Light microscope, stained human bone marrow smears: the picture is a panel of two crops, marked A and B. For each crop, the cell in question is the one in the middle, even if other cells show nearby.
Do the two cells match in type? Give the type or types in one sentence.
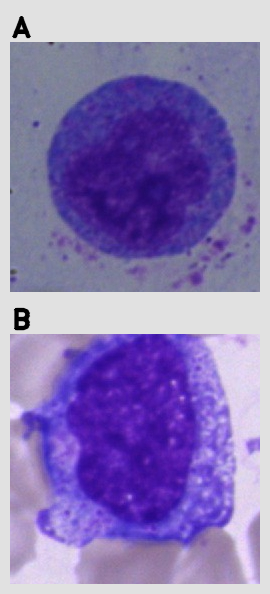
Yes, both crops depict promyelocytes at the centre.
